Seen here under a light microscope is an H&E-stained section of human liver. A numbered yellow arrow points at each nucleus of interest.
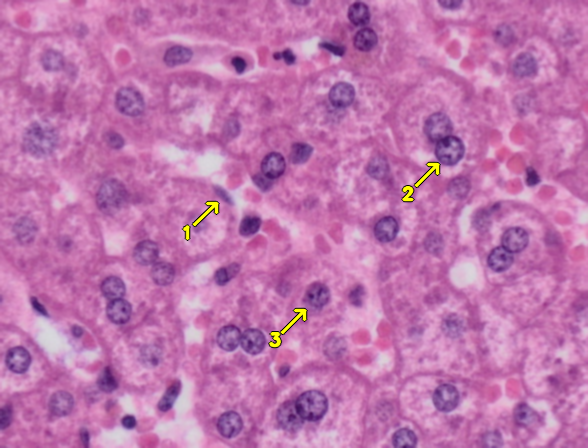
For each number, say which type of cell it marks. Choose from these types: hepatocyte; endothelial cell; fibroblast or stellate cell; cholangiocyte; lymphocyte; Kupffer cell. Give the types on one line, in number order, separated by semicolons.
endothelial cell; hepatocyte; hepatocyte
